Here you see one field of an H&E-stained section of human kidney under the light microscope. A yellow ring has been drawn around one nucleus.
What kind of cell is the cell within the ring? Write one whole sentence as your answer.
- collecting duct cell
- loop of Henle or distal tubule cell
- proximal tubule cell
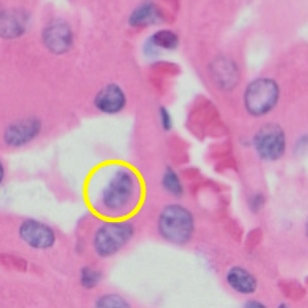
In short, the cell within the ring on this section is a loop of Henle or distal tubule cell.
